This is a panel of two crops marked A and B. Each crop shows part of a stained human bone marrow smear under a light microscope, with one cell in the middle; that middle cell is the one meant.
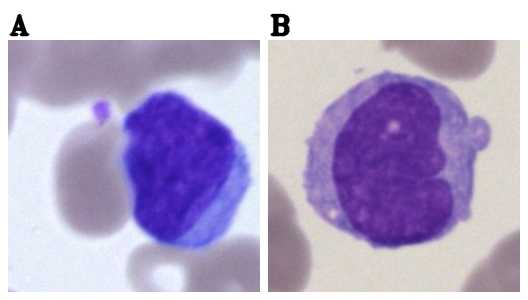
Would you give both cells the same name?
yes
